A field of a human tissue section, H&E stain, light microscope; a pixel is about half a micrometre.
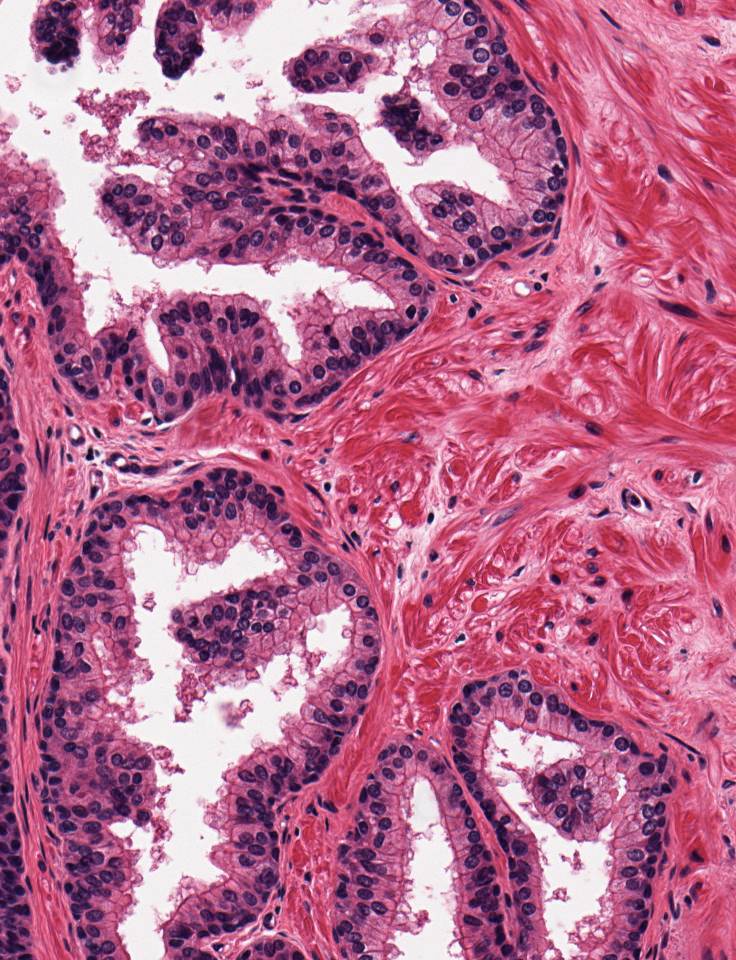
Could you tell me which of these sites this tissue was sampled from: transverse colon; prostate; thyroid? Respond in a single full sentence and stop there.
From the prostate was taken the tissue in this section.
